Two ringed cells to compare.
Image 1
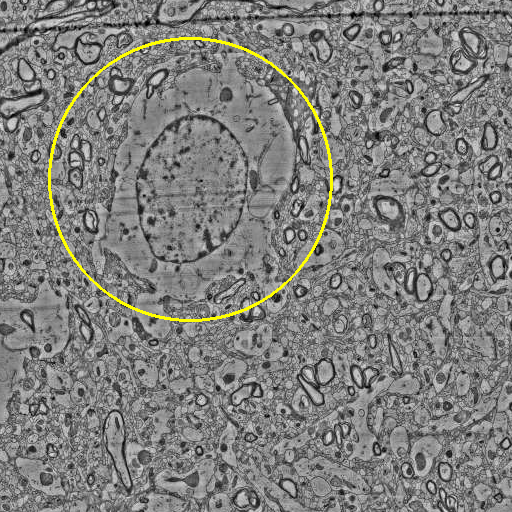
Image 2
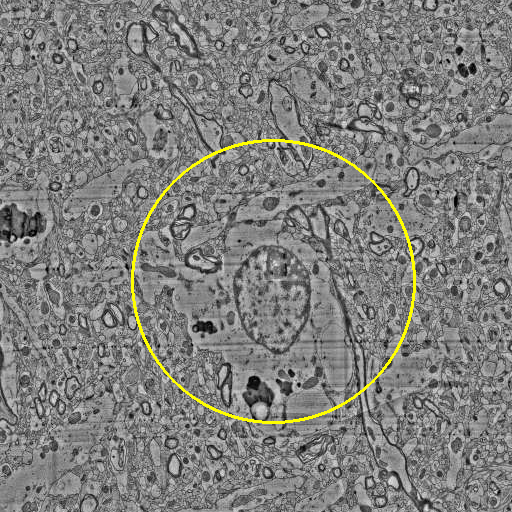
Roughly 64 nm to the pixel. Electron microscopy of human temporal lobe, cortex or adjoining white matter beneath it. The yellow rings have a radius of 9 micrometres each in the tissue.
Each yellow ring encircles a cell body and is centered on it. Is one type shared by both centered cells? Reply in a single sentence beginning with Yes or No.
Yes, a single type is shared by the two cells at the centers of the rings.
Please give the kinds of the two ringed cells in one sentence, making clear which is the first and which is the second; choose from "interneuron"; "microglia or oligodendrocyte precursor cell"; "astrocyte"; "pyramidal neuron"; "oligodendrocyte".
In the first picture and in the second, the ring is centred on an astrocyte.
